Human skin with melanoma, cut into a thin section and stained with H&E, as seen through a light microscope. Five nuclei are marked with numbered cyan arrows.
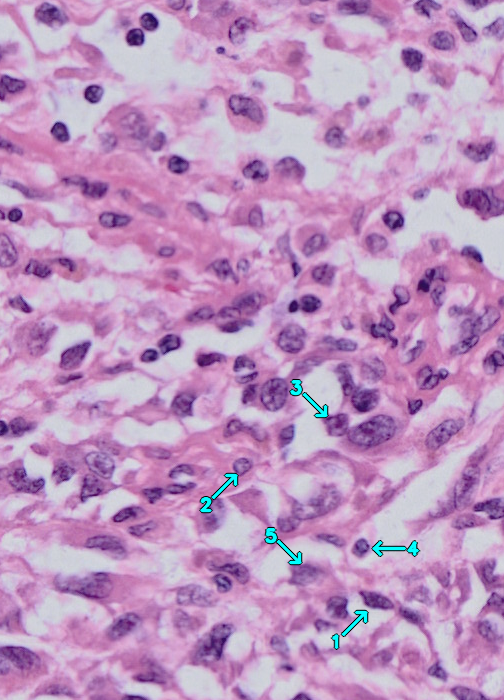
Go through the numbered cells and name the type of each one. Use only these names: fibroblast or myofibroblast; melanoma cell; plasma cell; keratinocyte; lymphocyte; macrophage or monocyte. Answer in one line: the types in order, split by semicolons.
melanoma cell; macrophage or monocyte; melanoma cell; lymphocyte; melanoma cell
